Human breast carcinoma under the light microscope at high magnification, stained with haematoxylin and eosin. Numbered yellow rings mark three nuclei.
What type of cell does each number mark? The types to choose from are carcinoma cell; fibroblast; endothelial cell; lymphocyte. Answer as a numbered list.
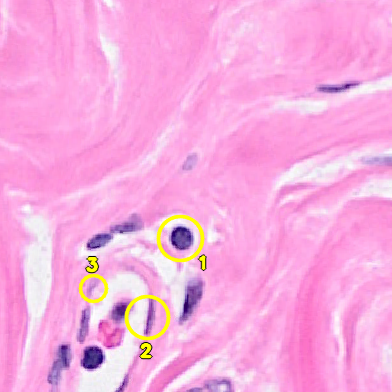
1. lymphocyte
2. endothelial cell
3. endothelial cell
